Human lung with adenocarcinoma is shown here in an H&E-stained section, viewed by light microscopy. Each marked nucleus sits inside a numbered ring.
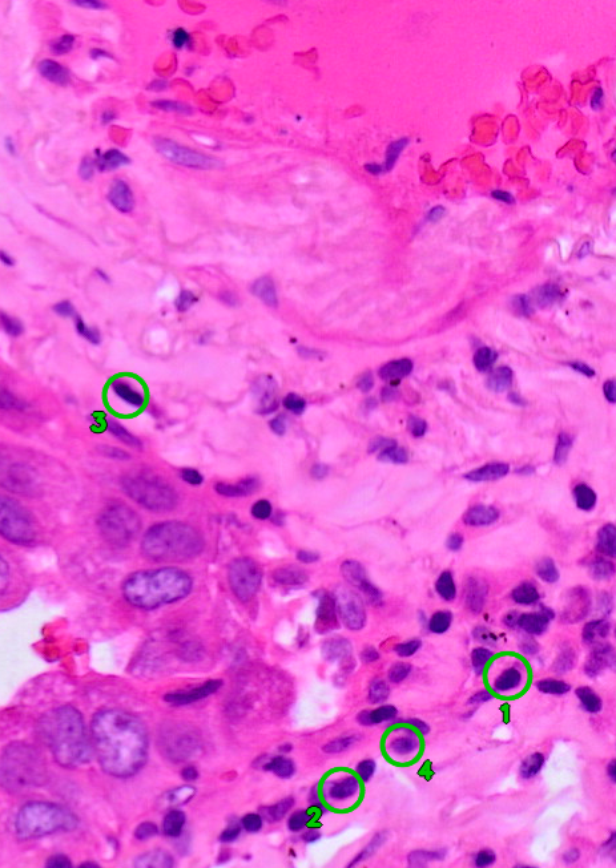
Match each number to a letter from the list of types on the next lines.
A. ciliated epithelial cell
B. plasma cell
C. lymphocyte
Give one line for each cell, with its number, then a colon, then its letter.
1: C
2: C
3: B
4: C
